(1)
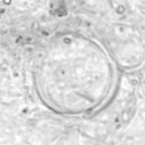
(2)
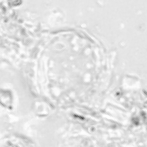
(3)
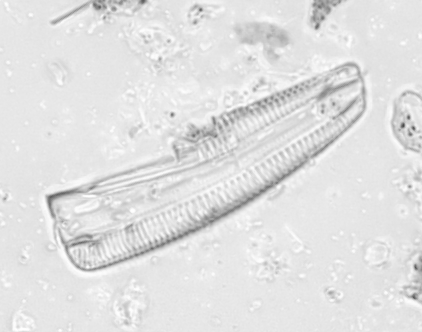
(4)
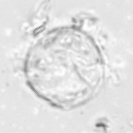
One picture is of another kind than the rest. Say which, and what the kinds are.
Picture 3 shows Rhoicosphenia; the rest show Stephanodiscus.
